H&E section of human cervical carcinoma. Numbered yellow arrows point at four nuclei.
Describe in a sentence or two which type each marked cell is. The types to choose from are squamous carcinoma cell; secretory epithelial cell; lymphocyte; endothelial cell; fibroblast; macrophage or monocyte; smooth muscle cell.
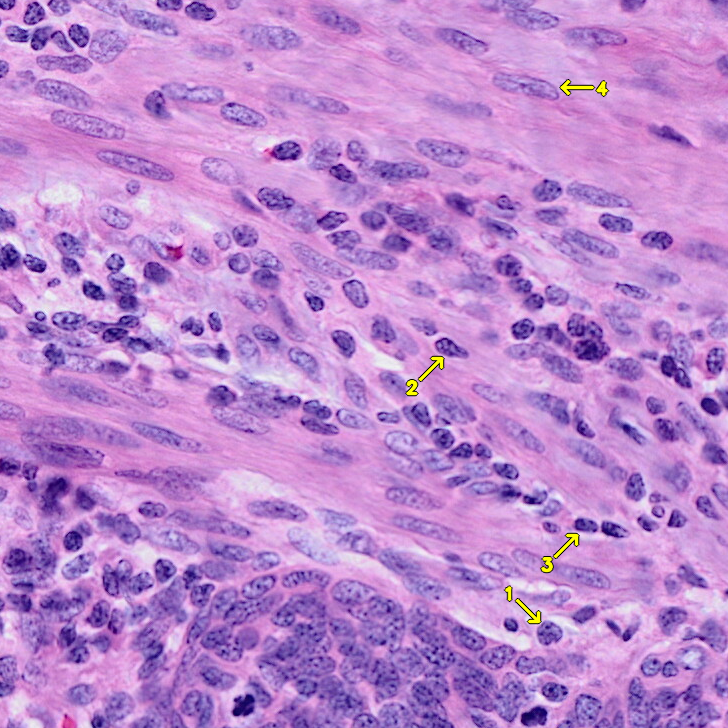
Cells 1, 2 and 3 are lymphocytes. Cell 4 is a smooth muscle cell.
